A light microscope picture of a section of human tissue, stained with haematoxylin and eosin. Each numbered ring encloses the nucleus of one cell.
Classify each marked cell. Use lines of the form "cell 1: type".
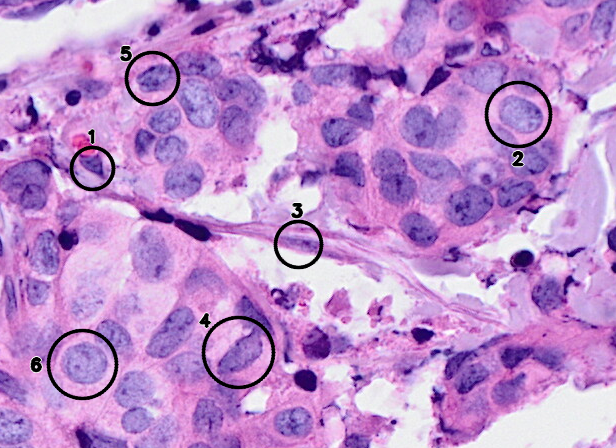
cell 1: endothelial cell
cell 2: carcinoma cell
cell 3: fibroblast
cell 4: carcinoma cell
cell 5: carcinoma cell
cell 6: carcinoma cell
